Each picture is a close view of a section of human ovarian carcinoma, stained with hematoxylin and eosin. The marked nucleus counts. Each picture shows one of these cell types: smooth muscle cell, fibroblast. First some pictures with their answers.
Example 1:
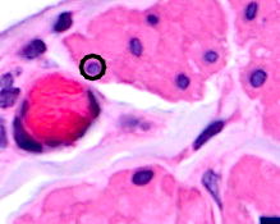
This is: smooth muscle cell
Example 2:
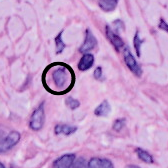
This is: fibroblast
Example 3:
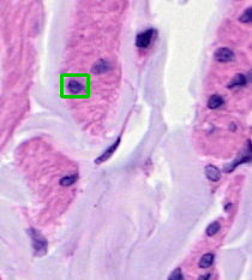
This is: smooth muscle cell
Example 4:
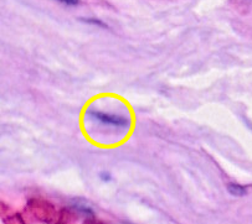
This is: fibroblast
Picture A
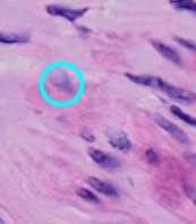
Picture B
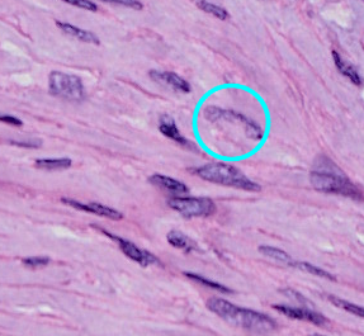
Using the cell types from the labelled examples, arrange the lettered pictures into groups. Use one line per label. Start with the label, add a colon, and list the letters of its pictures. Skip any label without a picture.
smooth muscle cell: A
fibroblast: B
